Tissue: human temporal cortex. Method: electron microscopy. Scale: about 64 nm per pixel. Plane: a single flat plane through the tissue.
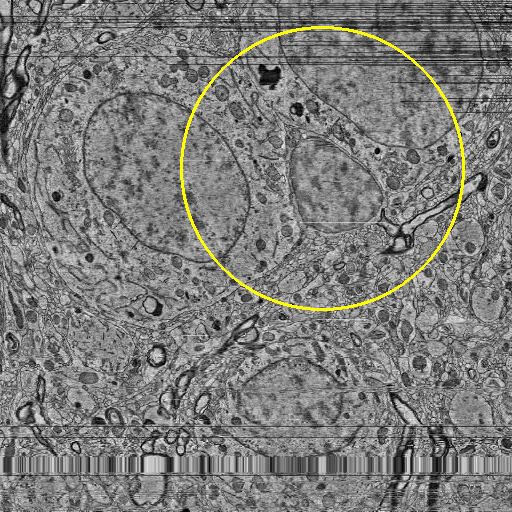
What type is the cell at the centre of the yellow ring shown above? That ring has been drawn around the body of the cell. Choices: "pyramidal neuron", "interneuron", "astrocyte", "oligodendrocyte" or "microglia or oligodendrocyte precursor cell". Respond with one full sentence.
My answer is that an oligodendrocyte lies at the centre of the yellow ring above.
